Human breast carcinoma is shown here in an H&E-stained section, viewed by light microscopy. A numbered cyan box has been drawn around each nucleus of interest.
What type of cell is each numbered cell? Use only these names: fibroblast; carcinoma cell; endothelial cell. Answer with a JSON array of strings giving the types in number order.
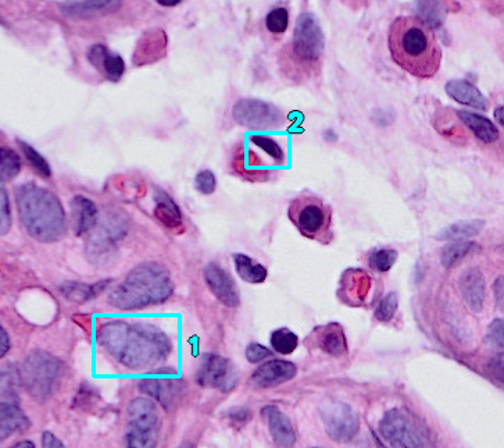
["carcinoma cell", "endothelial cell"]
